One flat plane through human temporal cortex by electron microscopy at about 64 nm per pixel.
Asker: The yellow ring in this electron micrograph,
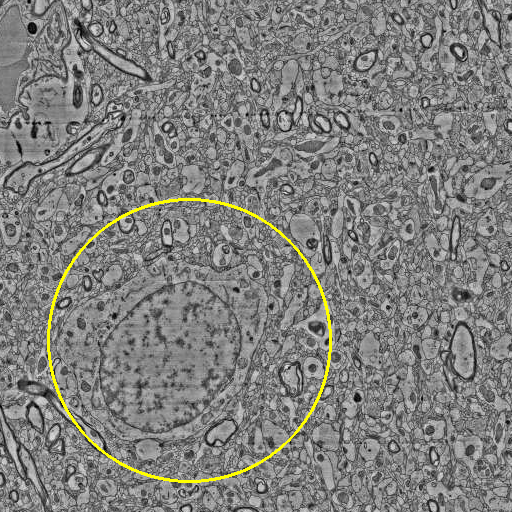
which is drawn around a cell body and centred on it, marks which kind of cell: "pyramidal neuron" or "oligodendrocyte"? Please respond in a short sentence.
The marked cell is a pyramidal neuron.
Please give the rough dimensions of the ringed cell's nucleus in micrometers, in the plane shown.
The nucleus appears roughly 10 by 8 micrometres in this plane.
